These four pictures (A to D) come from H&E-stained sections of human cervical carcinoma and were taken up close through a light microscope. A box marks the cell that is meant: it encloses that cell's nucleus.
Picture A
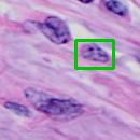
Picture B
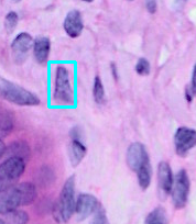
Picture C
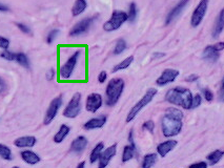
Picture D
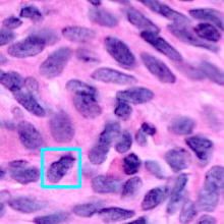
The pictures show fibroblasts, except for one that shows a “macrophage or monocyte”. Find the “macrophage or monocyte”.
A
